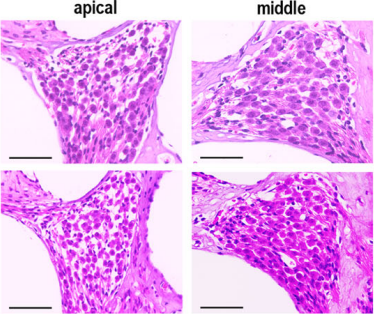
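These are sections through the ganglion of the cochlea, where the cell bodies of the nerve cells that carry hearing lie packed in a bony canal. The cells sit close together, separated by thin strands of pale pink fibres and a few small, dark, flattened nuclei of supporting cells between them. The cluster is bounded by pink bone at its edges.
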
